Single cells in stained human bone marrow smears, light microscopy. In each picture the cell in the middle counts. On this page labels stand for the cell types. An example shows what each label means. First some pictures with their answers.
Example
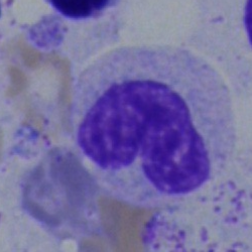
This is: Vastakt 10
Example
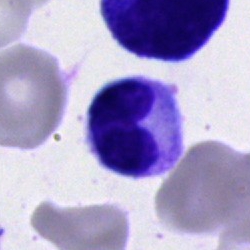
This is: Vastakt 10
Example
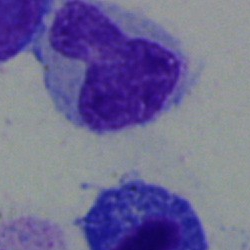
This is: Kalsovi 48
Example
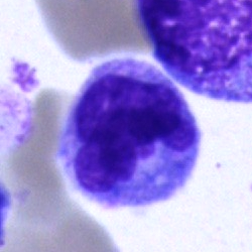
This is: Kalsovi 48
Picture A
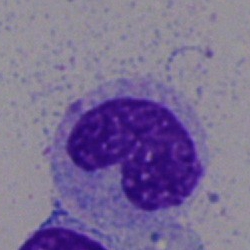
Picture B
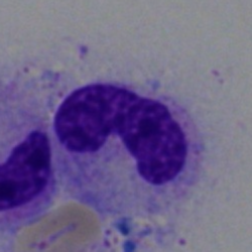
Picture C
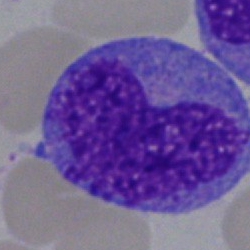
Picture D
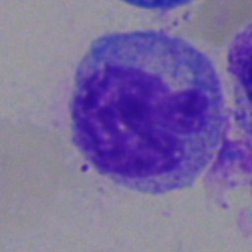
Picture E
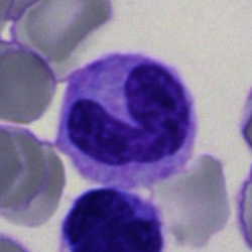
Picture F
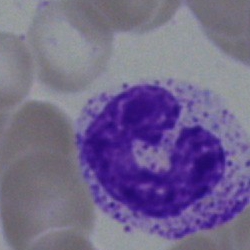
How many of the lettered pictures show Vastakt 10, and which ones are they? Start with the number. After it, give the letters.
4, namely A, B, E, F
